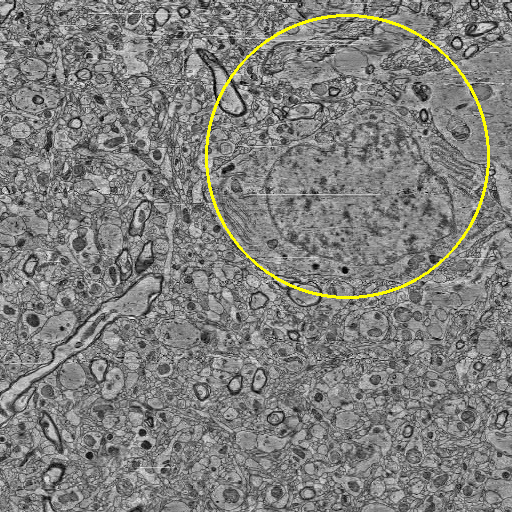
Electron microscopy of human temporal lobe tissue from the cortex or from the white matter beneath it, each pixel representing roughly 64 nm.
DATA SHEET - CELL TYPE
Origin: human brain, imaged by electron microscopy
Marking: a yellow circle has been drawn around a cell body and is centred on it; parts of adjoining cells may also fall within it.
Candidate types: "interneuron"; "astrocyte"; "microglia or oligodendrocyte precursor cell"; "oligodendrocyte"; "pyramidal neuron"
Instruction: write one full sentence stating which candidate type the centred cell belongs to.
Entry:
The cell body at the centre of the yellow ring in this micrograph belongs to an interneuron.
